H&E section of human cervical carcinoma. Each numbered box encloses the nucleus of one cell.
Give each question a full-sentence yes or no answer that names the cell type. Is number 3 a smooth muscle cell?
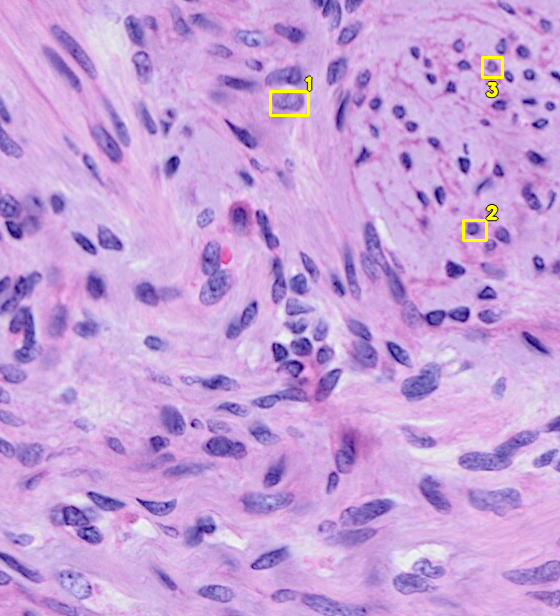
Yes, to put it simply, cell number 3 is a smooth muscle cell.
